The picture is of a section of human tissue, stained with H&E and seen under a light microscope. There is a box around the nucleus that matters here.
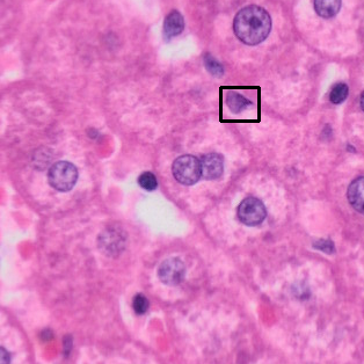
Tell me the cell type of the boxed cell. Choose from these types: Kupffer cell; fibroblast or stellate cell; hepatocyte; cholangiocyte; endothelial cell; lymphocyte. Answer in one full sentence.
In this tissue sample, the boxed cell is an endothelial cell.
